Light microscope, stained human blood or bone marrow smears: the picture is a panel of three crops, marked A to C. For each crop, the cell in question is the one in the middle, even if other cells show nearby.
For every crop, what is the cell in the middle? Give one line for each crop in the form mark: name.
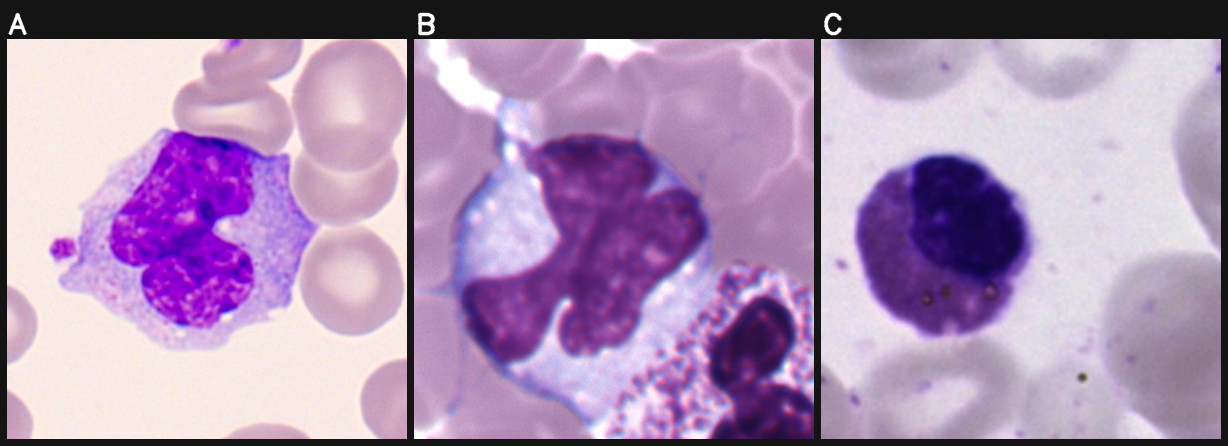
A: monocyte
B: monocyte
C: eosinophil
